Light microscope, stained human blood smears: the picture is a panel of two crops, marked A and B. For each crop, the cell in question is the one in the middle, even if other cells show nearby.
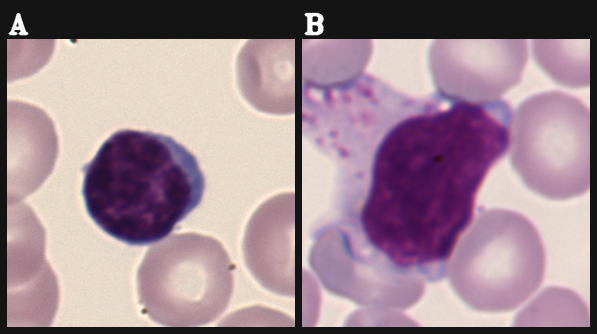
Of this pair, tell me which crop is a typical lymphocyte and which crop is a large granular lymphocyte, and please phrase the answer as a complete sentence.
Here crop A is a typical lymphocyte, and crop B is a large granular lymphocyte.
